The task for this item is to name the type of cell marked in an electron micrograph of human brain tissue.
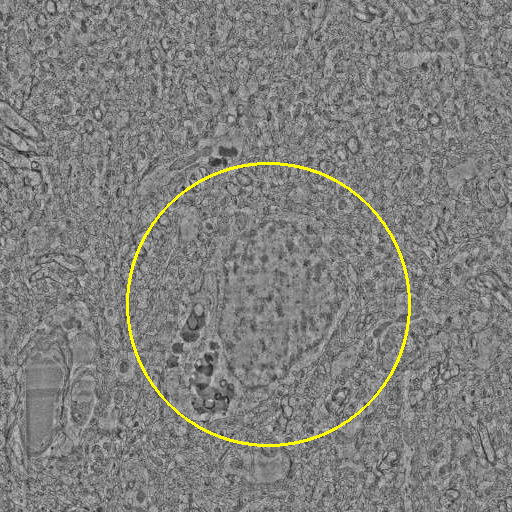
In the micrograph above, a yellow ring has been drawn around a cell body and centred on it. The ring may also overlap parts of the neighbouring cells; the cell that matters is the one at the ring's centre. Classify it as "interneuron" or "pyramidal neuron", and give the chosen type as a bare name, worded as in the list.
interneuron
